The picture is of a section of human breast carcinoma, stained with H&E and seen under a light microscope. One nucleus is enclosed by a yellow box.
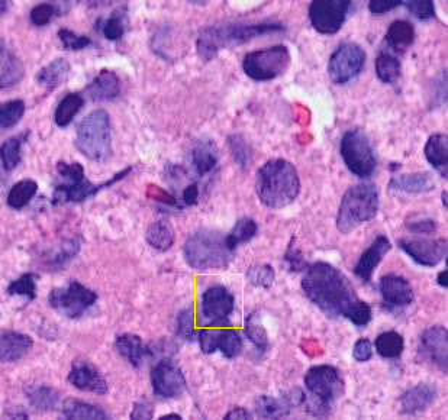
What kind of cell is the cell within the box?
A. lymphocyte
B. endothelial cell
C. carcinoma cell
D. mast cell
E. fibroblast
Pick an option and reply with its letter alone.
C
